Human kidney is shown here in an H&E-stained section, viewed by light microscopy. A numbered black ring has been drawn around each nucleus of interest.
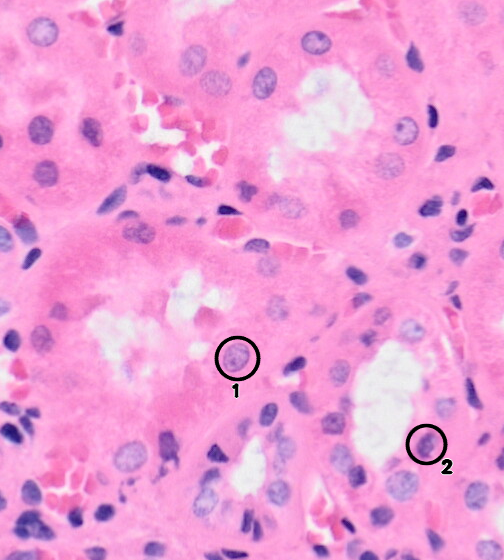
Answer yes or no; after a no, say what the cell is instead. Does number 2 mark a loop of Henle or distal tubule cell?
Yes.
